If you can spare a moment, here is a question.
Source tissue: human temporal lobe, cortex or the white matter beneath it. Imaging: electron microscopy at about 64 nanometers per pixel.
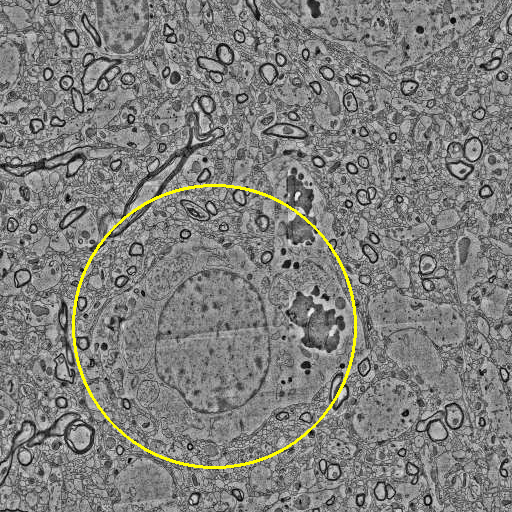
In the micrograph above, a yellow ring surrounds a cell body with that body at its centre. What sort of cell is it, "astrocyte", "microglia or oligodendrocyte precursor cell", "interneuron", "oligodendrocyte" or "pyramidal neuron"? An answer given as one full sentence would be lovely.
Centred inside the yellow ring, the cell body shown belongs to an astrocyte in this micrograph.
